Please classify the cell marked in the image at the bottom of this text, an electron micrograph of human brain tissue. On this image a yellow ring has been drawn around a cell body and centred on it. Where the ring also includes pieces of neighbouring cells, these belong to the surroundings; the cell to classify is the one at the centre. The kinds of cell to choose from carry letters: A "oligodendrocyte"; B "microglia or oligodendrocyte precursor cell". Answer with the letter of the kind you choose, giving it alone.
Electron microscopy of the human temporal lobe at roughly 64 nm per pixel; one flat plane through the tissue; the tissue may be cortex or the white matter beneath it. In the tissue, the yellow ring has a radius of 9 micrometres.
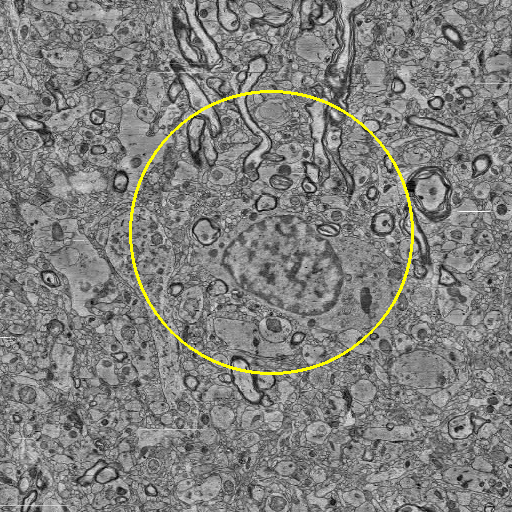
A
